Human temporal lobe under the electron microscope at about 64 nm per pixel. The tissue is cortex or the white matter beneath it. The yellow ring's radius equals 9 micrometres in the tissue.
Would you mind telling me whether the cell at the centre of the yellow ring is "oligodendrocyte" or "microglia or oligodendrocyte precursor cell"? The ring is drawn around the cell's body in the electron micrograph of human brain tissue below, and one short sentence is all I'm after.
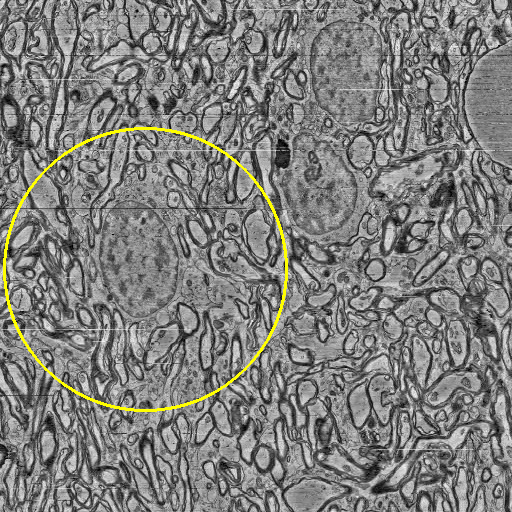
In the centre of the ring lies an oligodendrocyte.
